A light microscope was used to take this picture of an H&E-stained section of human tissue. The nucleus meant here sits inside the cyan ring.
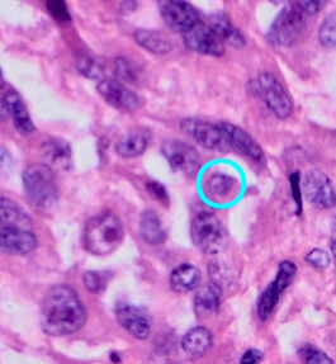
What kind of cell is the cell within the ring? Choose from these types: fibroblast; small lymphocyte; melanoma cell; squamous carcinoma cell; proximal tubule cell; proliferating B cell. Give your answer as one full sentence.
The cell meant here is a melanoma cell.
